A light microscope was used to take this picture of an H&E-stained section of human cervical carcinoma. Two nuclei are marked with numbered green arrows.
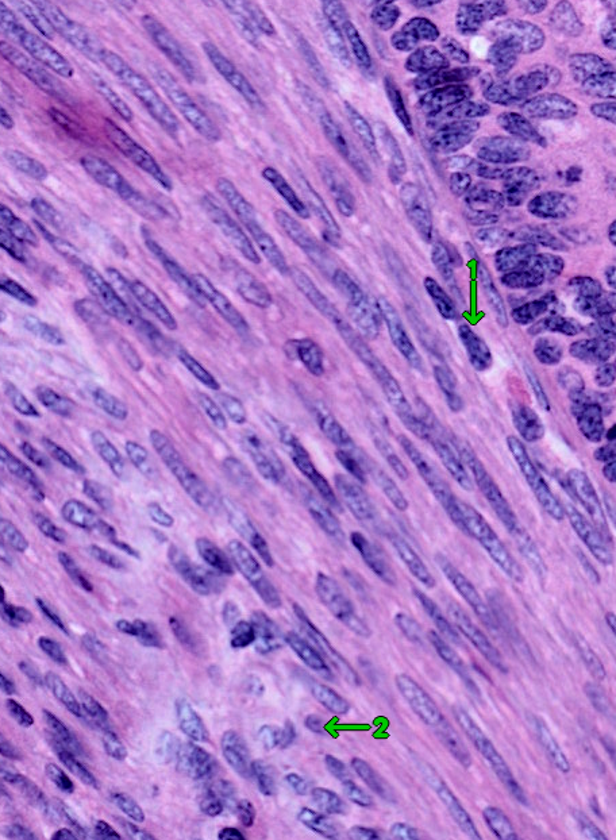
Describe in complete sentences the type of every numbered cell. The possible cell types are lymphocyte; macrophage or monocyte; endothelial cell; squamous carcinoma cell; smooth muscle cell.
Cell 1 is a lymphocyte. Cell 2 is a smooth muscle cell.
